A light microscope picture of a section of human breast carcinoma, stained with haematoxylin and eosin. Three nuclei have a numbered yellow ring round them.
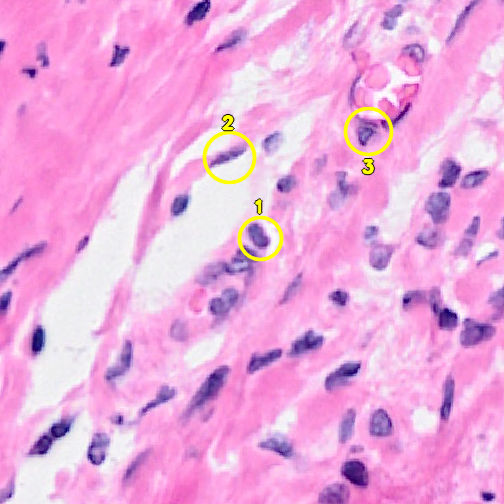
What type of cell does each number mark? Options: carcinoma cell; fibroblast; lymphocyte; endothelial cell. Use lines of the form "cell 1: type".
cell 1: lymphocyte
cell 2: fibroblast
cell 3: endothelial cell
